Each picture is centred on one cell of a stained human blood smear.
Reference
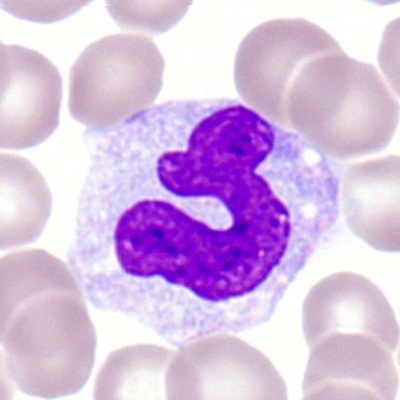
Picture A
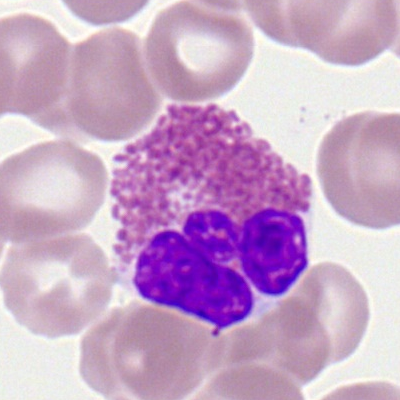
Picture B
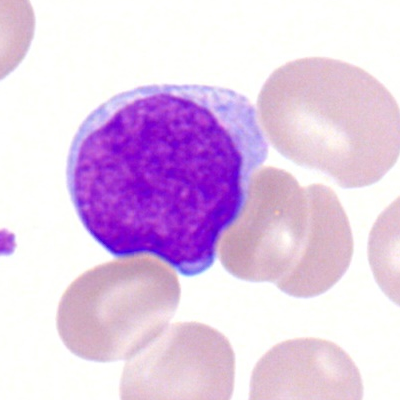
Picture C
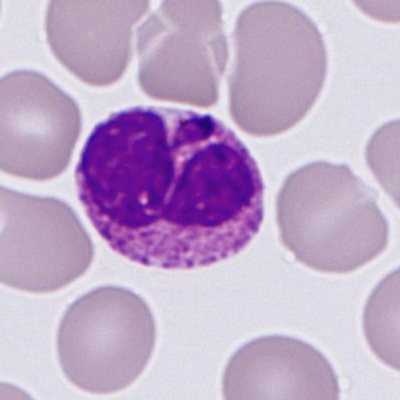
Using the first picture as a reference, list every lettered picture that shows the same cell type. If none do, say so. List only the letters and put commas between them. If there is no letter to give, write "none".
none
